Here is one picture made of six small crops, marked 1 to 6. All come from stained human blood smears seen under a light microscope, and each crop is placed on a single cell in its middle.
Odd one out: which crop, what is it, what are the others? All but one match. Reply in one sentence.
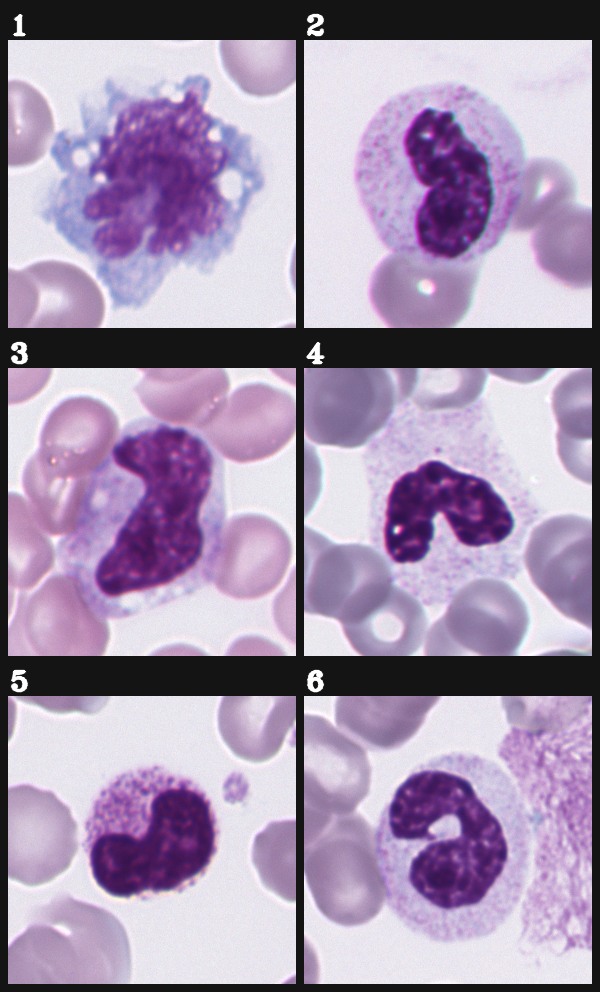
The set is made up of band neutrophils, with the single exception of crop 1, which is a monocyte.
